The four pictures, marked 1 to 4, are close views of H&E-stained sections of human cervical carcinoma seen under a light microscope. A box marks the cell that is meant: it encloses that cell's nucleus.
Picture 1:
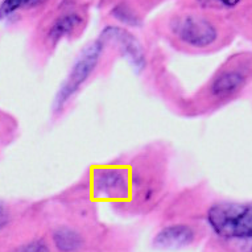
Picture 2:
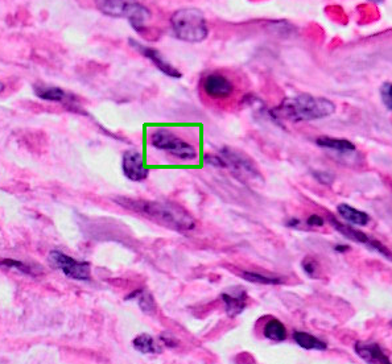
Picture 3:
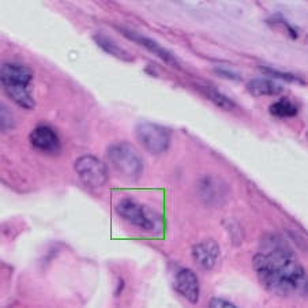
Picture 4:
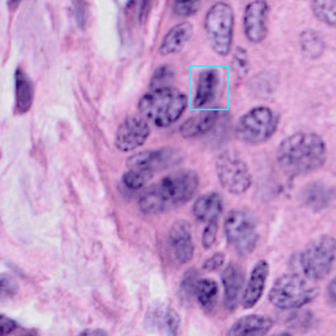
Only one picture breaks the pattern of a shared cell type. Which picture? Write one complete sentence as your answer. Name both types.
Picture 2 differs, because its cell is a “macrophage or monocyte” and the rest are squamous carcinoma cells.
